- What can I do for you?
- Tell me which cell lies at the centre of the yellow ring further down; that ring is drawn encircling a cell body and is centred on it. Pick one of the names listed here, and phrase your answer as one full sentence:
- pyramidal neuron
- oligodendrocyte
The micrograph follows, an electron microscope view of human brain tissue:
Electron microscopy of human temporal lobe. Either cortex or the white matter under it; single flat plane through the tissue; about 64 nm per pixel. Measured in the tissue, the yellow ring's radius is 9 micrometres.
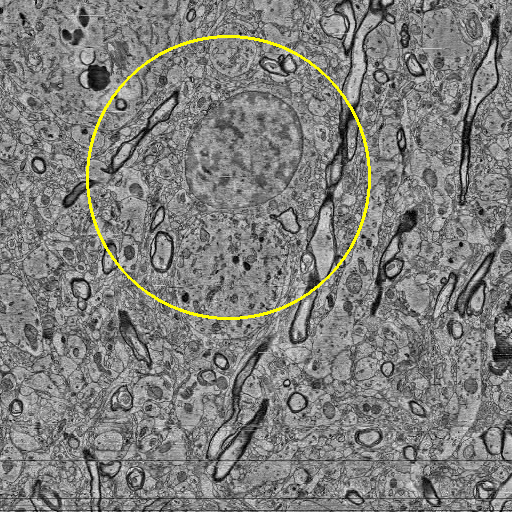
The cell whose body lies at the centre of the yellow ring is an oligodendrocyte.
